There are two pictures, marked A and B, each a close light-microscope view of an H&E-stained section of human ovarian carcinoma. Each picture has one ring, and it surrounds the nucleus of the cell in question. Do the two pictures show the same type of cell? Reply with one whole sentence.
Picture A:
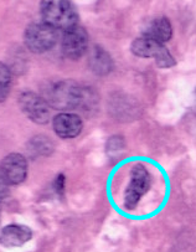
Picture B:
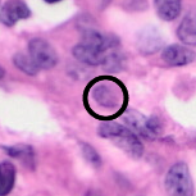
Yes, both are “macrophages or monocytes”.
